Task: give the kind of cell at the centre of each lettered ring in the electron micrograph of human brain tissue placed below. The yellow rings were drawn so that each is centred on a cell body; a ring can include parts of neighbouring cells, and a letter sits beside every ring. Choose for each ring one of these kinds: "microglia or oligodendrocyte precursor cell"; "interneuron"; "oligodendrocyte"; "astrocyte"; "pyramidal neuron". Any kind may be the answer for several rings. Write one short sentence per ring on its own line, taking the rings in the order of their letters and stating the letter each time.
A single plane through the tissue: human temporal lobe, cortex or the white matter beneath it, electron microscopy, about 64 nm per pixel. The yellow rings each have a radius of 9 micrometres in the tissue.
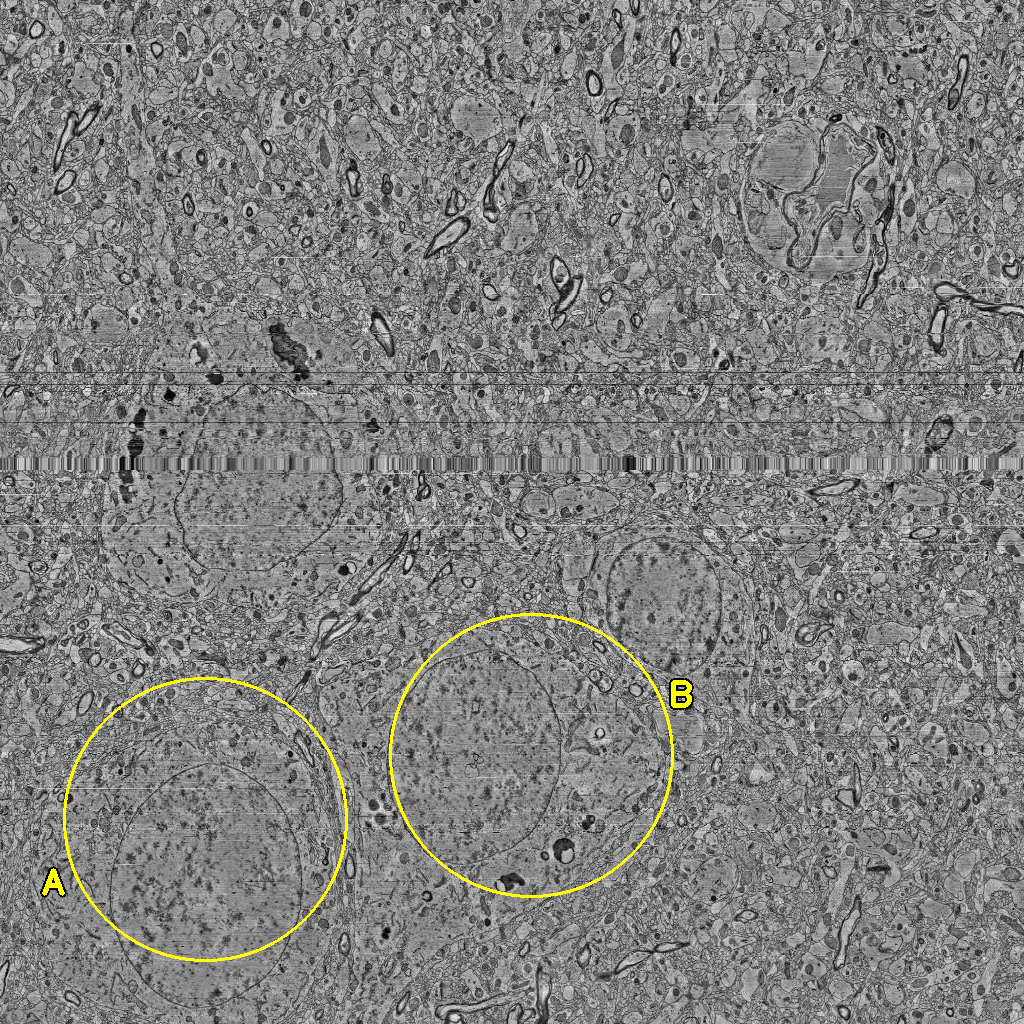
The yellow ring marked A surrounds a pyramidal neuron.
The yellow ring marked B surrounds a pyramidal neuron.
